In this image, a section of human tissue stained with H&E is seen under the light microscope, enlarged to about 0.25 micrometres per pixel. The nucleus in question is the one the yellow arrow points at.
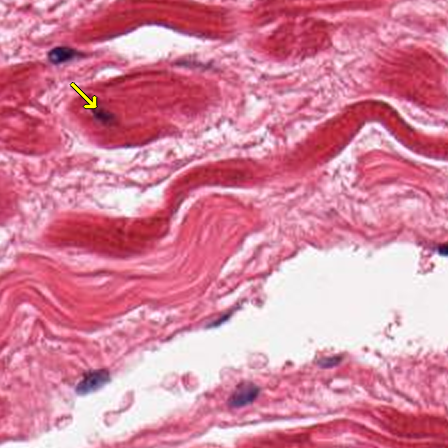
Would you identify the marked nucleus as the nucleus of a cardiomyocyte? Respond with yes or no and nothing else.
yes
